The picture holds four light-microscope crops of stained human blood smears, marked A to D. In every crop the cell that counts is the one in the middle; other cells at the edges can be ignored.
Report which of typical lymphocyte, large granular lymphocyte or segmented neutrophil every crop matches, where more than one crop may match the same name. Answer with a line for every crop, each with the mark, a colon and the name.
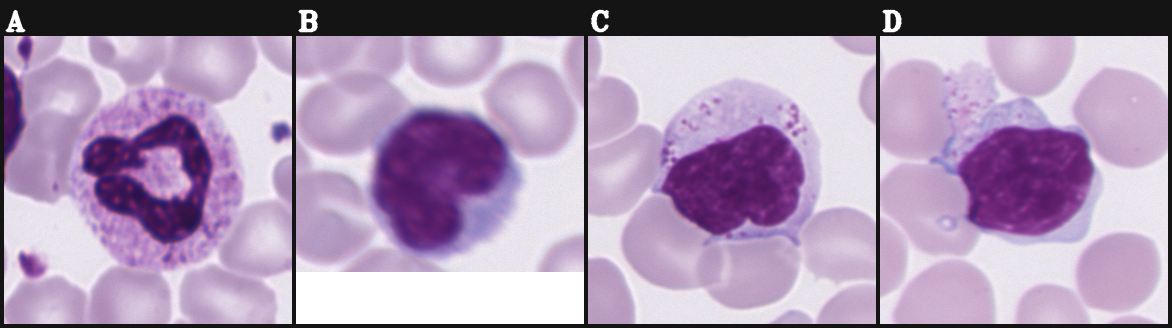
A: segmented neutrophil
B: typical lymphocyte
C: large granular lymphocyte
D: large granular lymphocyte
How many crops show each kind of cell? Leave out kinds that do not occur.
large granular lymphocyte: 2
segmented neutrophil: 1
typical lymphocyte: 1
